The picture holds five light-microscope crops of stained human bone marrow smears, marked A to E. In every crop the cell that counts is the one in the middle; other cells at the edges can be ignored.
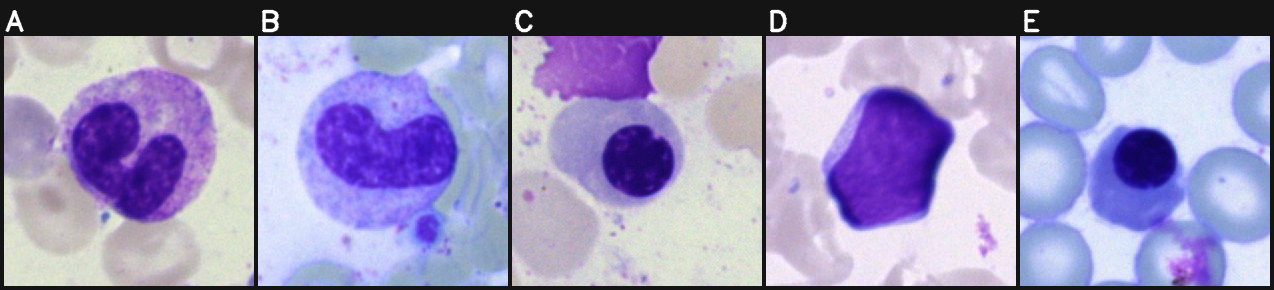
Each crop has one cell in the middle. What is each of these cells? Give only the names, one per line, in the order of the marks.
segmented neutrophil
band neutrophil
erythroblast
blast
erythroblast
